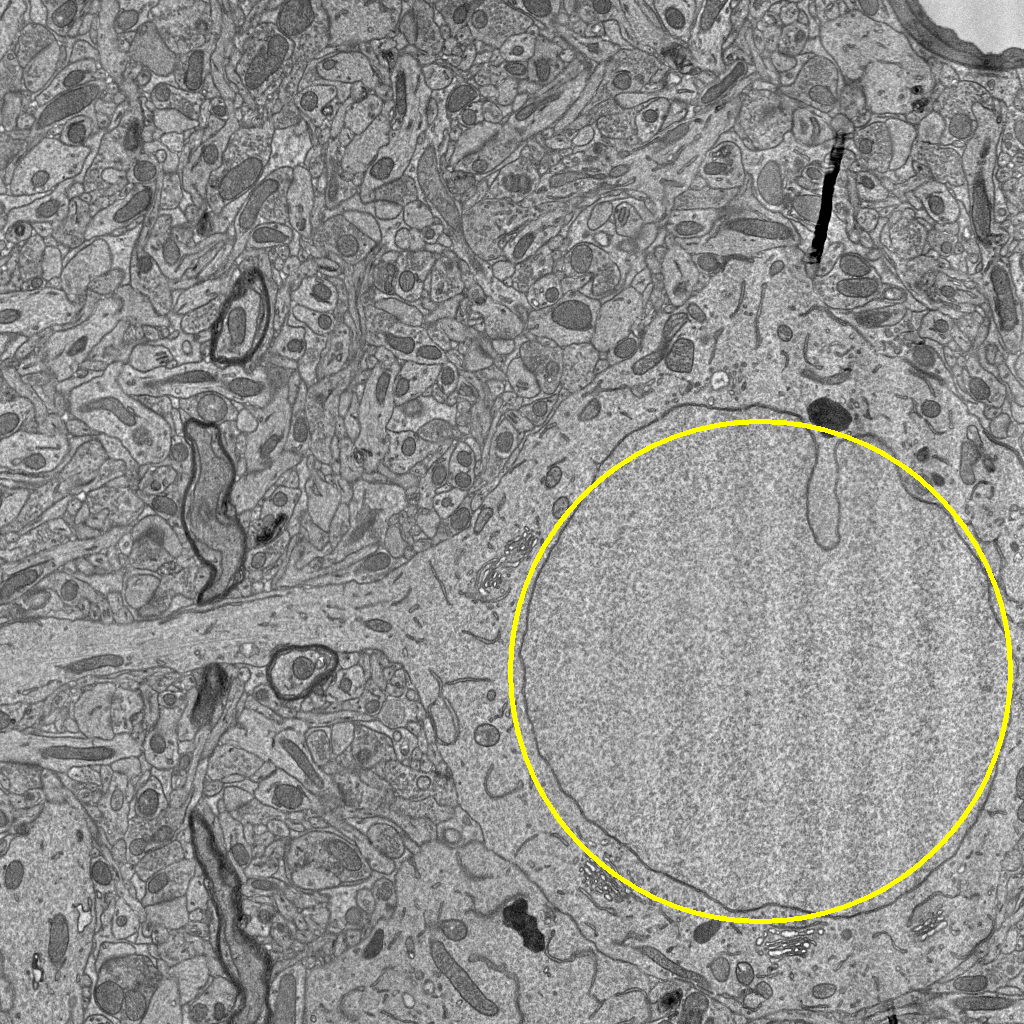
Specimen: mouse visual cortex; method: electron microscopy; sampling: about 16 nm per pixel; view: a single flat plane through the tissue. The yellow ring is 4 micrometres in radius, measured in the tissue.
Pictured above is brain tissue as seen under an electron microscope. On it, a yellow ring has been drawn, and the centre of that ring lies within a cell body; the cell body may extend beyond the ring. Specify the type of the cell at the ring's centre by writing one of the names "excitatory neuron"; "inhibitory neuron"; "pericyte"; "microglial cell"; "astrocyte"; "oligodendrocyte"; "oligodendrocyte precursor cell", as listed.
excitatory neuron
